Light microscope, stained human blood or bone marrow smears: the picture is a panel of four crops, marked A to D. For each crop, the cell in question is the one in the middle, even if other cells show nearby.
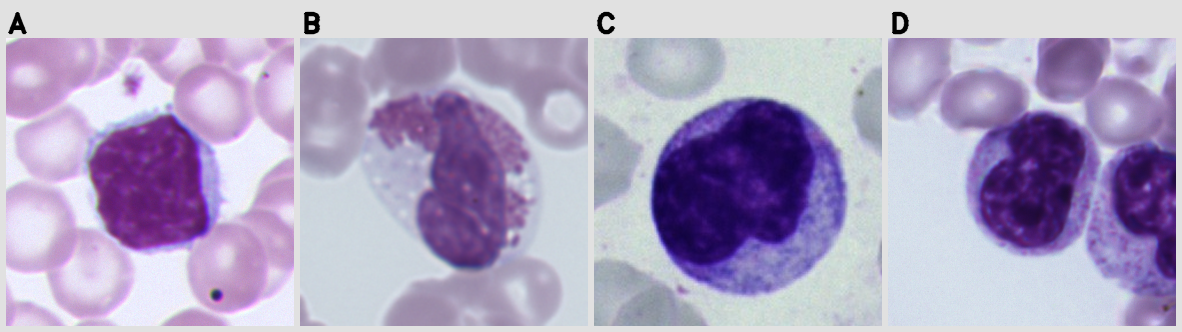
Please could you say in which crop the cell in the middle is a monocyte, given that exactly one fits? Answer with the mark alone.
C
